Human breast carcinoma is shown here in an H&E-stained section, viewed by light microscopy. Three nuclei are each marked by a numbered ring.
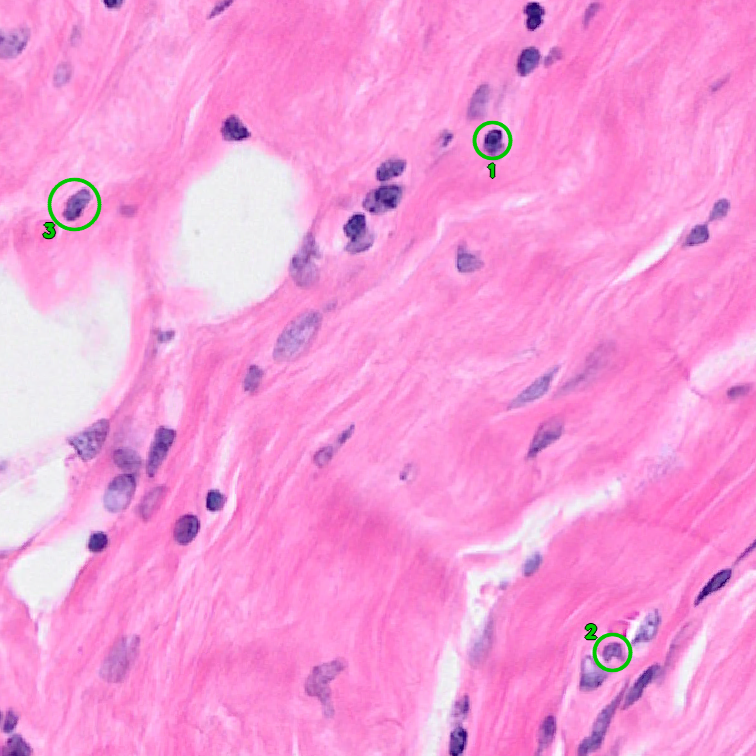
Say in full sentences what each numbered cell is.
Cells 1 and 3 are lymphocytes. Cell 2 is an endothelial cell.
